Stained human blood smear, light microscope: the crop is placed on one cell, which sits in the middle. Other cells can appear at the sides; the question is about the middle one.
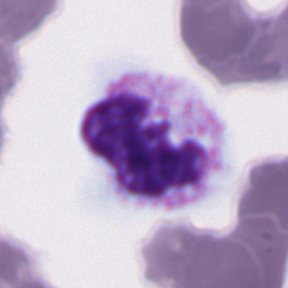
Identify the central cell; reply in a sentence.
In this smear crop, the middle cell is a segmented neutrophil.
